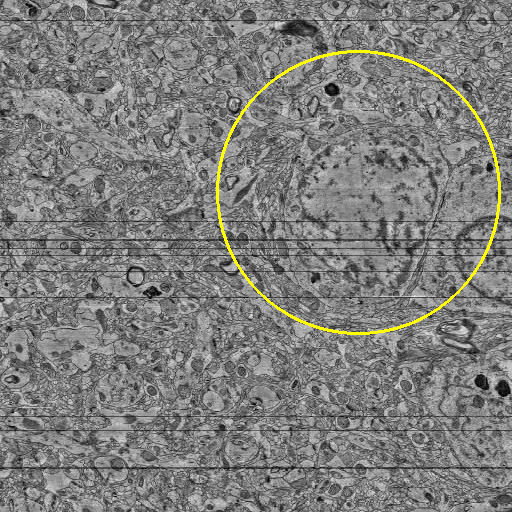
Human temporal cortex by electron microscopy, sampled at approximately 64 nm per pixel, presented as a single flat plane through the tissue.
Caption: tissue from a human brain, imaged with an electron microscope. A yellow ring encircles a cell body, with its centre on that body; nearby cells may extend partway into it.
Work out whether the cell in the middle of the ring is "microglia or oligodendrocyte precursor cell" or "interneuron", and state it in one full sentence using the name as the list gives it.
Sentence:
In the picture, the cell that the yellow ring surrounds at its centre is an interneuron.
